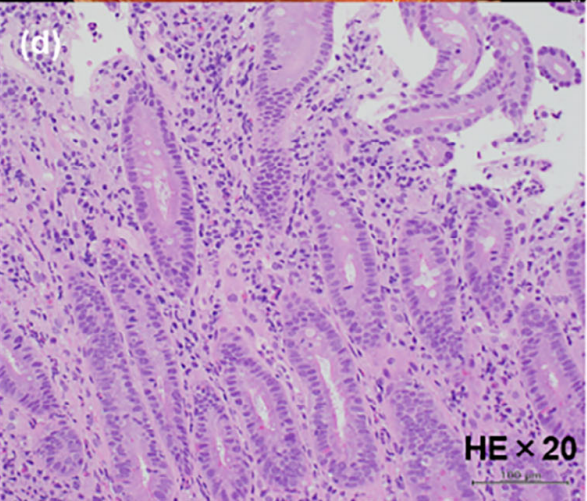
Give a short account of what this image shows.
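Intestinal mucosa in which elongated crypts, cut lengthwise and across, are lined by tall columnar epithelial cells with elongated, crowded purple nuclei and pink cytoplasm. The stroma between the crypts is densely packed with small inflammatory cells with dark nuclei, giving the tissue a crowded, inflamed look.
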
